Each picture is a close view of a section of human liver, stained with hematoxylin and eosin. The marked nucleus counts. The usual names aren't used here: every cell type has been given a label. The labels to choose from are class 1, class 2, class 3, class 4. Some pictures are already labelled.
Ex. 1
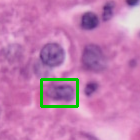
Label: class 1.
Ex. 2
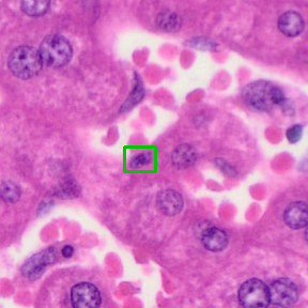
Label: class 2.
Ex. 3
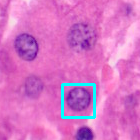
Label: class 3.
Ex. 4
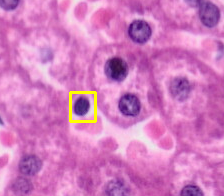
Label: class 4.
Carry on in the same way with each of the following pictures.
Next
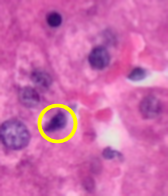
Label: class 2.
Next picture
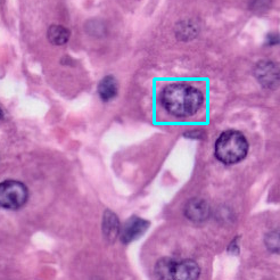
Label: class 3.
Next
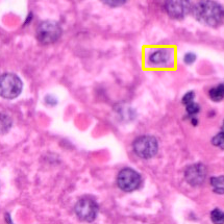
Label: class 1.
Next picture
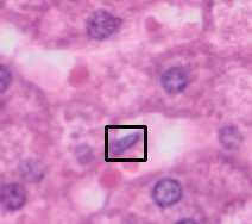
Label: class 1.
